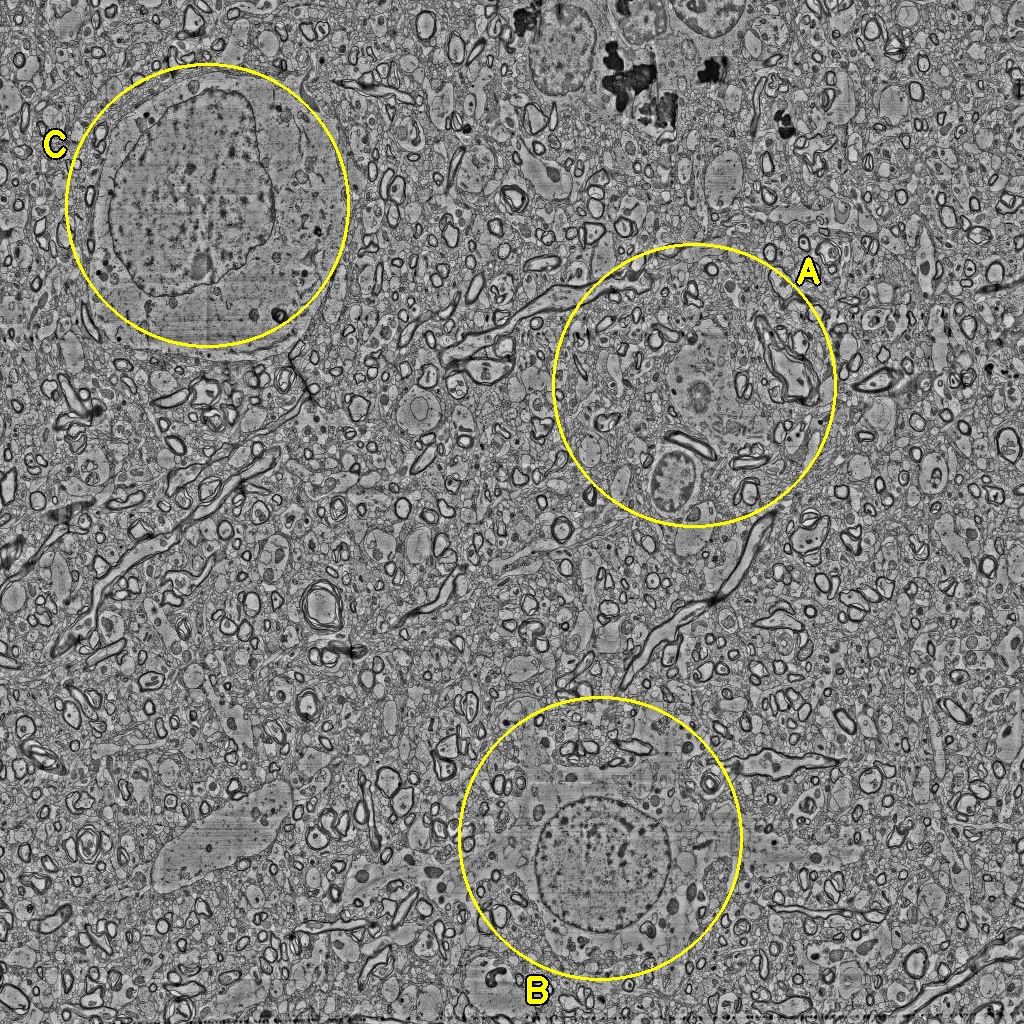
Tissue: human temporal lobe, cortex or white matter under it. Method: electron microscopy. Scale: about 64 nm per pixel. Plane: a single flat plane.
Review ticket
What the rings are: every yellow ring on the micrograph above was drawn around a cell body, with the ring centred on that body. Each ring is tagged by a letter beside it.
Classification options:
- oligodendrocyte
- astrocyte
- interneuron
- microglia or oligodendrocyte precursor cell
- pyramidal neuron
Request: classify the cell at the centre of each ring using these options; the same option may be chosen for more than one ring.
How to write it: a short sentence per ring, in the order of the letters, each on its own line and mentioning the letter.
The cell centred in ring A is a microglial cell or oligodendrocyte precursor cell.
The cell centred in ring B is an astrocyte.
The cell centred in ring C is a pyramidal neuron.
